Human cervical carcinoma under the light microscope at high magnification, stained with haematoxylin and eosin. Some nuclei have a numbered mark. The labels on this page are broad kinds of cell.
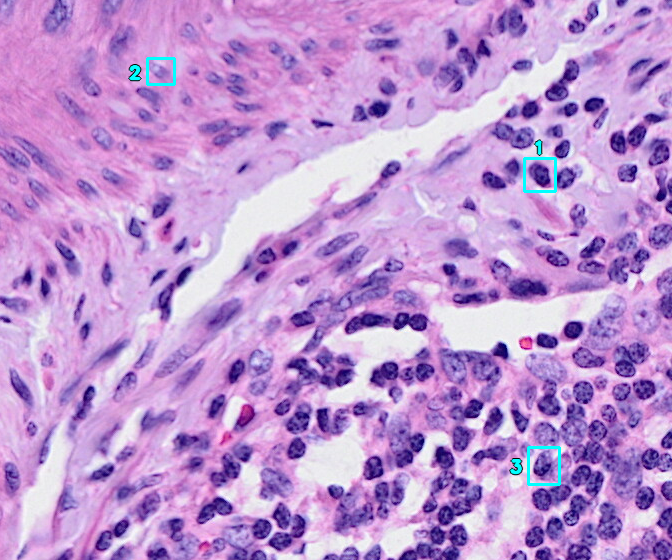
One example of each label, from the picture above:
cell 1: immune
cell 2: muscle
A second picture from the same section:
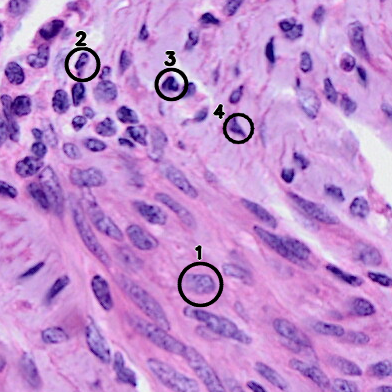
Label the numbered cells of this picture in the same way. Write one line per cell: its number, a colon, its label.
1: muscle
2: immune
3: immune
4: muscle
